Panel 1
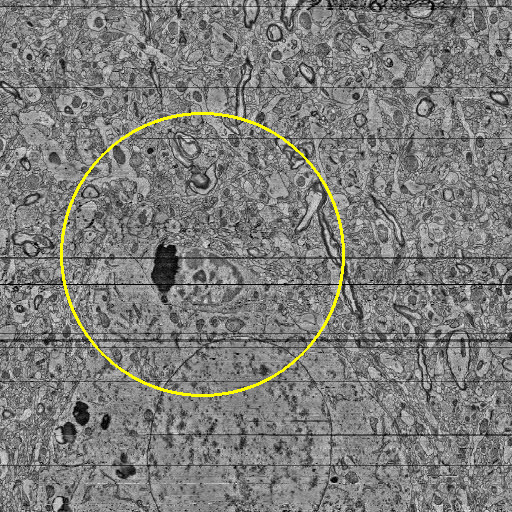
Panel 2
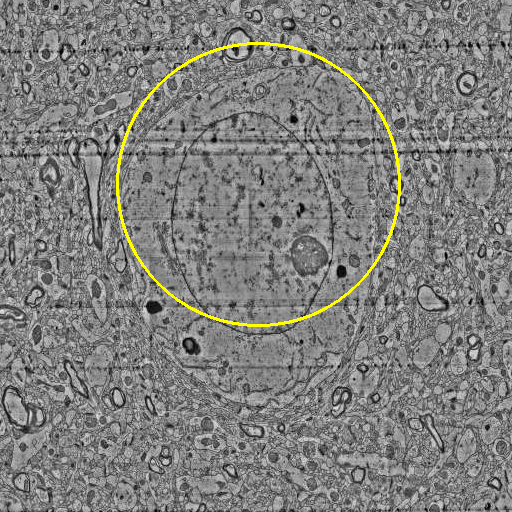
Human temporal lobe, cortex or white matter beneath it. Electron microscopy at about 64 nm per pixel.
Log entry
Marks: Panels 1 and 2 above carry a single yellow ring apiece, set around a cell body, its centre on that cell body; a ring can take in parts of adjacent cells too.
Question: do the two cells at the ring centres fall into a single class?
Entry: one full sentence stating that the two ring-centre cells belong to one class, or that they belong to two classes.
The two ring-centre cells in Panels 1 and 2 belong to two classes.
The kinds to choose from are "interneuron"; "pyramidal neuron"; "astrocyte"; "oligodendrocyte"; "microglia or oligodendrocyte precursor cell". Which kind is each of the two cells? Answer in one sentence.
Of the two, the first cell is an oligodendrocyte and the second cell is a pyramidal neuron.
